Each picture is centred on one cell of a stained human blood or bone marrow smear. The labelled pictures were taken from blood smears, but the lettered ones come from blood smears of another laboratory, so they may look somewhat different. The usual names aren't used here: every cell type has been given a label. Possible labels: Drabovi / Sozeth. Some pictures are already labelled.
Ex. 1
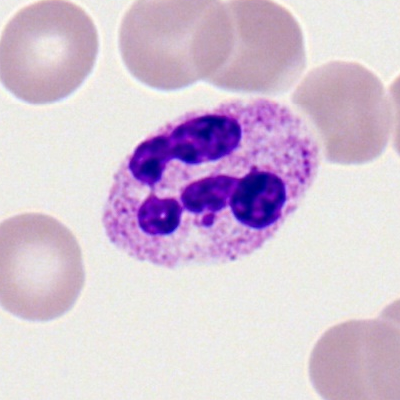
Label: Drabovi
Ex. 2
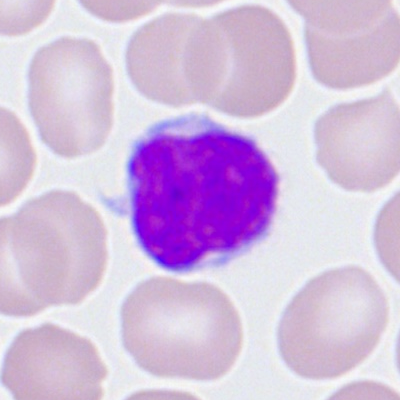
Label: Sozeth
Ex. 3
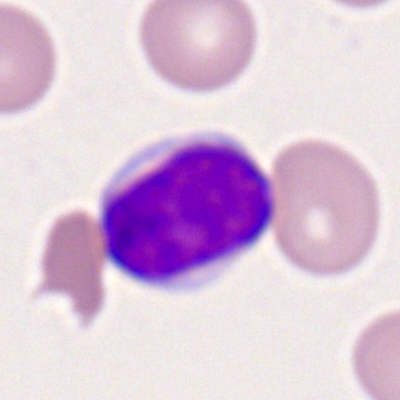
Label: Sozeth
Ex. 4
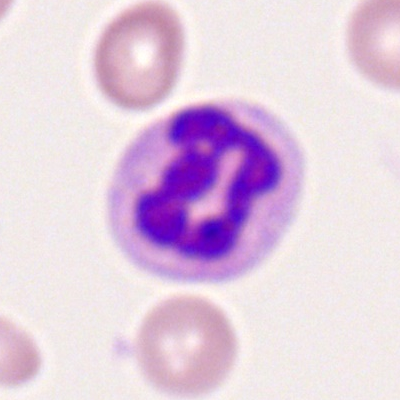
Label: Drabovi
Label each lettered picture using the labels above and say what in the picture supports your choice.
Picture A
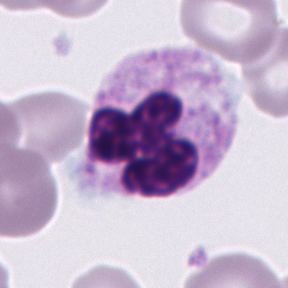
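Drabovi: The cytoplasm is plentiful and pale lilac-pink.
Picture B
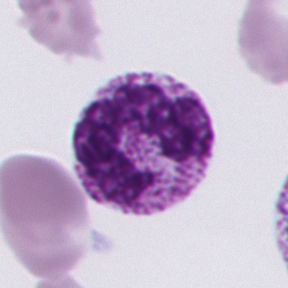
Drabovi: The nucleus appears as several dark purple lobes that are partly hidden by granules.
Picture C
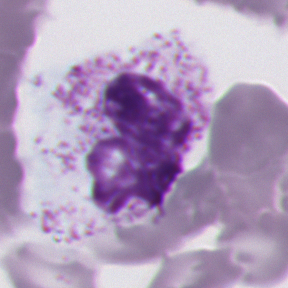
Drabovi: The cytoplasm between the granules is pale and nearly colourless.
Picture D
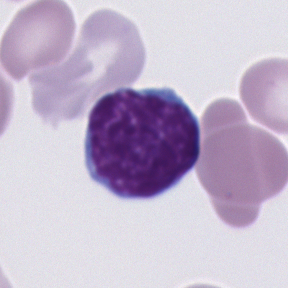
Sozeth: The cytoplasm is a thin blue rim around the nucleus.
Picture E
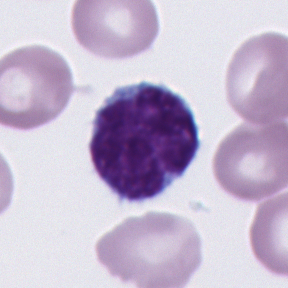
Sozeth: The cytoplasm is only a thin pale bluish rim around the nucleus.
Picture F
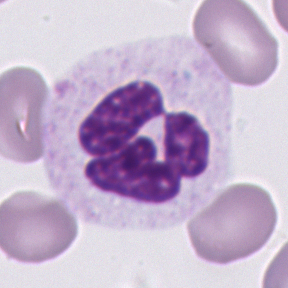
Drabovi: The cytoplasm is abundant and pale lilac-pink.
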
